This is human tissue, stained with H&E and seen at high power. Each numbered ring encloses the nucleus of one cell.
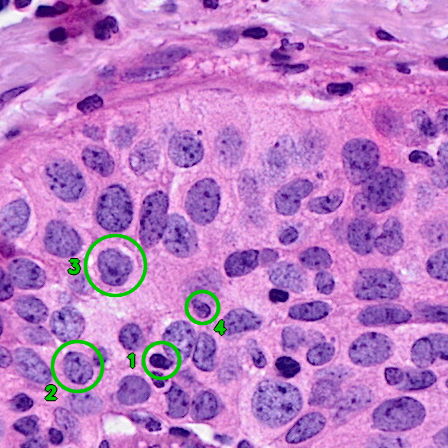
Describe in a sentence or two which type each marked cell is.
Cell 1 is a lymphocyte. Cells 2, 3 and 4 are carcinoma cells.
